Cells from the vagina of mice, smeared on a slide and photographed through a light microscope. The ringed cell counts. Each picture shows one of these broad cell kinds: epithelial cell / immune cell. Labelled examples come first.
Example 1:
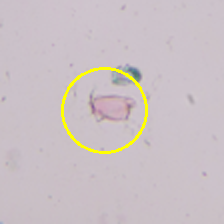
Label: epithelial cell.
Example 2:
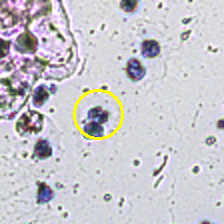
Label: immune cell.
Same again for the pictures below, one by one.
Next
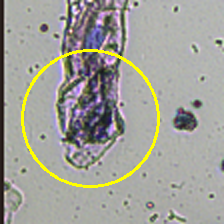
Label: epithelial cell.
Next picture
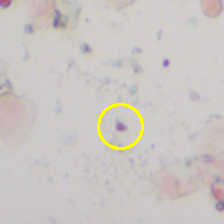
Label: immune cell.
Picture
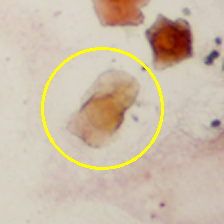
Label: epithelial cell.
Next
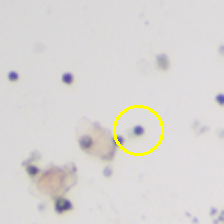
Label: immune cell.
